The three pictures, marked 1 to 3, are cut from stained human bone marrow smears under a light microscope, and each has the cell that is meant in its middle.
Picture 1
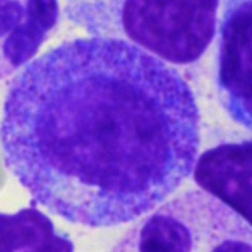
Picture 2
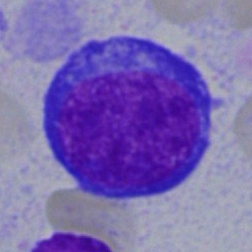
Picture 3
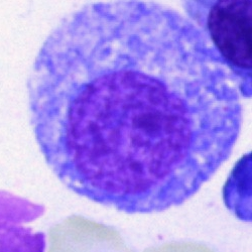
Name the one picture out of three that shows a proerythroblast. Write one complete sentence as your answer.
Picture 2 is the one that shows the proerythroblast.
